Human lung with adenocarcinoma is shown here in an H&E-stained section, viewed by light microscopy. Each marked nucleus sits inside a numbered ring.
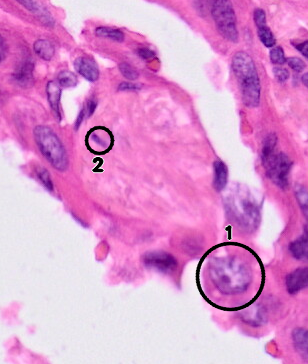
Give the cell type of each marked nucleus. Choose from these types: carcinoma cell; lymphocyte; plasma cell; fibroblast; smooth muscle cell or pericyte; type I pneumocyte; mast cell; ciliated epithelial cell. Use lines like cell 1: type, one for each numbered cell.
cell 1: carcinoma cell
cell 2: fibroblast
